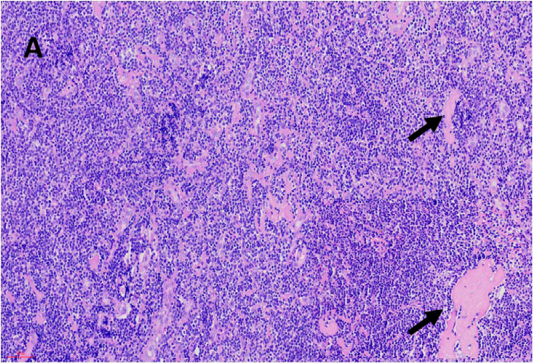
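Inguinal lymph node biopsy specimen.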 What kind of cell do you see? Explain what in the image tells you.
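Dense sheets of small cells with round dark-purple nuclei. Scant cytoplasm around each nucleus. No normal follicles or sinuses are seen.
Small lymphocytes.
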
